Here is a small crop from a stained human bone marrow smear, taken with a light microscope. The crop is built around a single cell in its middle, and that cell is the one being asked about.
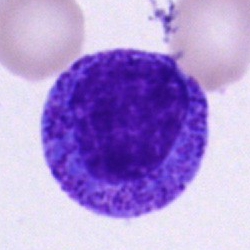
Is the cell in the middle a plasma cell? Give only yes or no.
no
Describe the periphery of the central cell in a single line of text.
Thanks for asking; the cell edge is smooth and has no projections.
